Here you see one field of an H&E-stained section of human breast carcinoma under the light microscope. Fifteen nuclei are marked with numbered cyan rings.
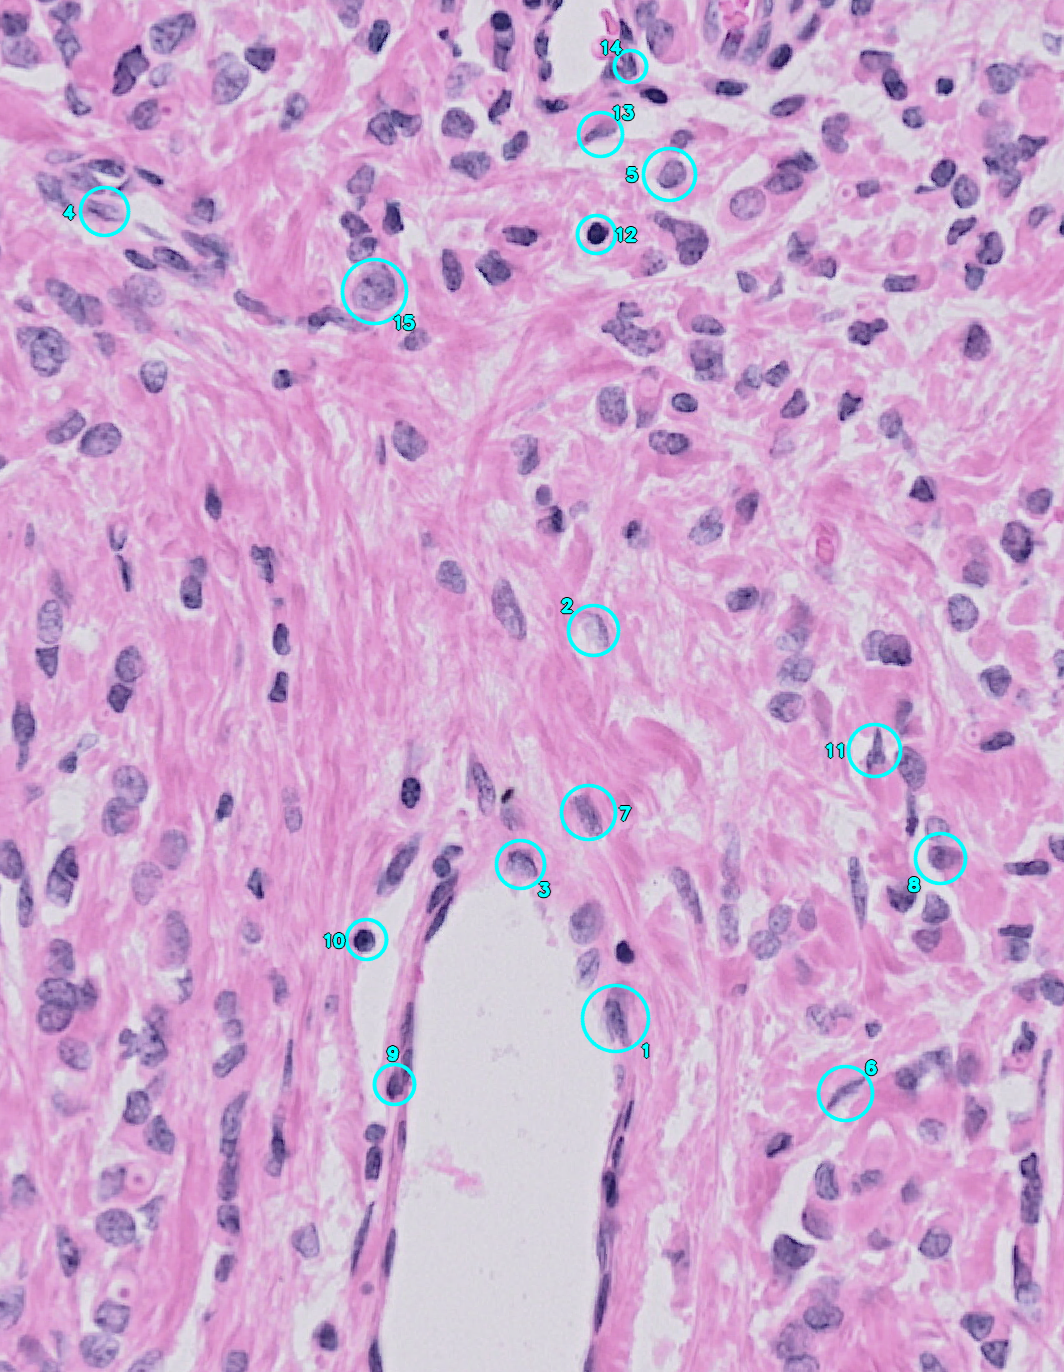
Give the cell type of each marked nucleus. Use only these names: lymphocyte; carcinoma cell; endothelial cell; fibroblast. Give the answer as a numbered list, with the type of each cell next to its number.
1. endothelial cell
2. fibroblast
3. endothelial cell
4. endothelial cell
5. carcinoma cell
6. fibroblast
7. fibroblast
8. carcinoma cell
9. endothelial cell
10. lymphocyte
11. fibroblast
12. lymphocyte
13. fibroblast
14. endothelial cell
15. carcinoma cell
